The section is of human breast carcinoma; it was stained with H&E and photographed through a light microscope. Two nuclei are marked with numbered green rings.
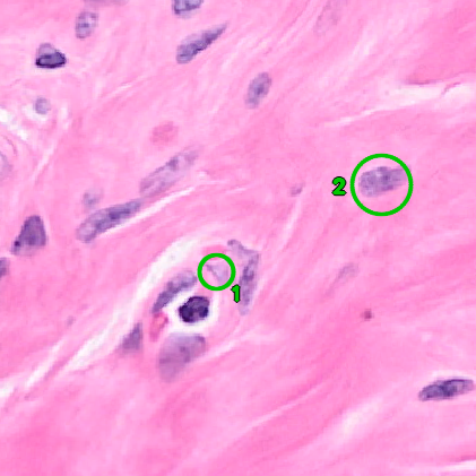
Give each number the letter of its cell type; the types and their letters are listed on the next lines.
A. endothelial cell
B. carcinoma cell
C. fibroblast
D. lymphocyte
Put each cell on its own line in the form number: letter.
1: A
2: C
